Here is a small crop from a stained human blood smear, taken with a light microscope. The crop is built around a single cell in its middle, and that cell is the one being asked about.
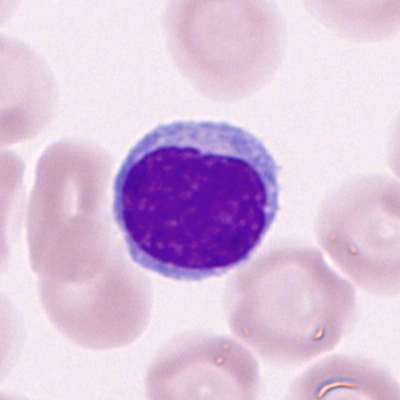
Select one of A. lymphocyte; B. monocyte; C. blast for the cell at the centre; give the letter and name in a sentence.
The cell positioned centrally is a lymphocyte, as given in option A, which is correct.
